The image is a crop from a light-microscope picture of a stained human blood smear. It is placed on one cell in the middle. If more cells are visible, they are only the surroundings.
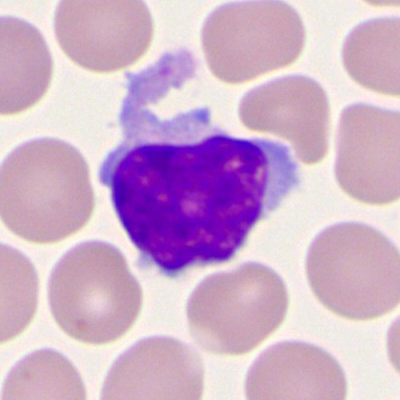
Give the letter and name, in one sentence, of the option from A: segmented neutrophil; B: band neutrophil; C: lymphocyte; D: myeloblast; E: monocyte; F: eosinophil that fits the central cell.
Well, the cell in the middle is a lymphocyte, making option C right.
